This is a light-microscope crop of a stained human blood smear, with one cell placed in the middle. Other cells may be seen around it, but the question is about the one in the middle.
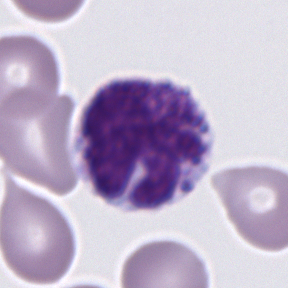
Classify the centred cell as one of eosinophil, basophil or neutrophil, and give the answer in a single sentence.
The cell shown in the center of this light-microscope crop is a basophil.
